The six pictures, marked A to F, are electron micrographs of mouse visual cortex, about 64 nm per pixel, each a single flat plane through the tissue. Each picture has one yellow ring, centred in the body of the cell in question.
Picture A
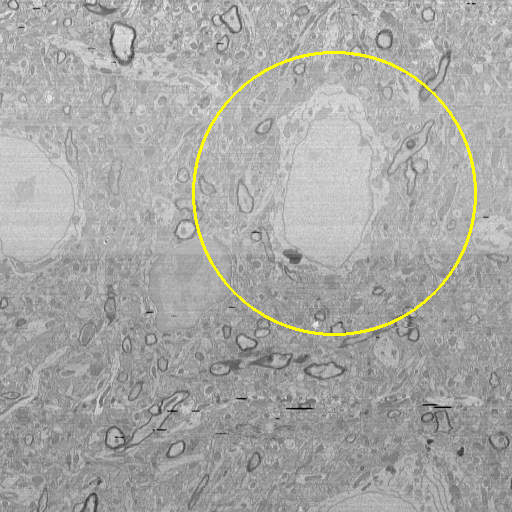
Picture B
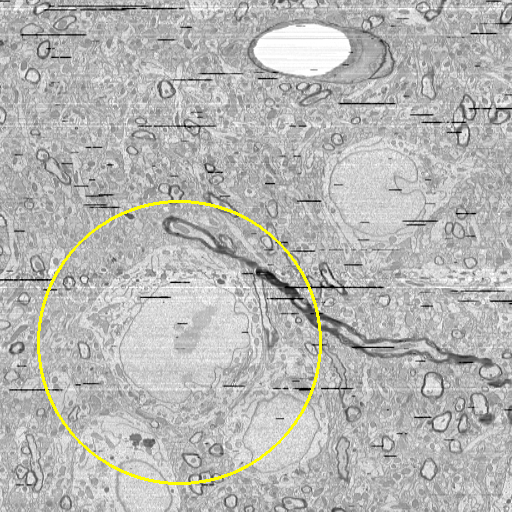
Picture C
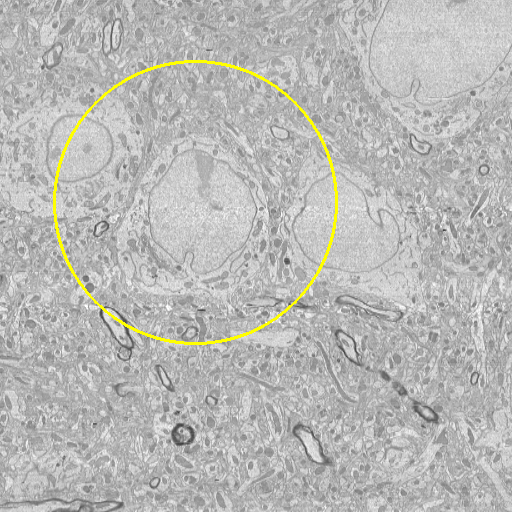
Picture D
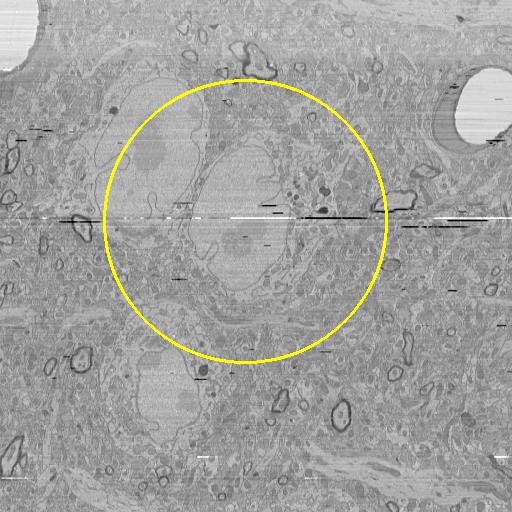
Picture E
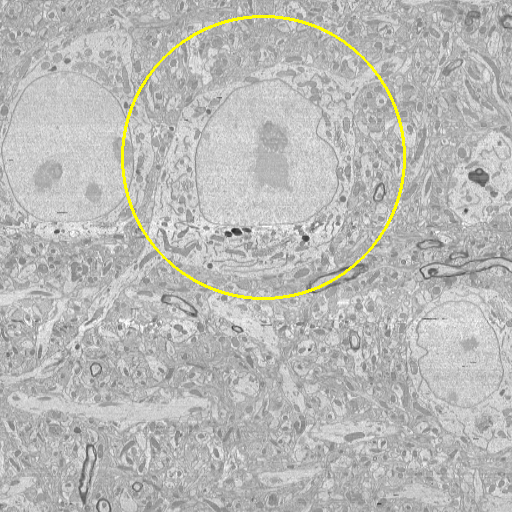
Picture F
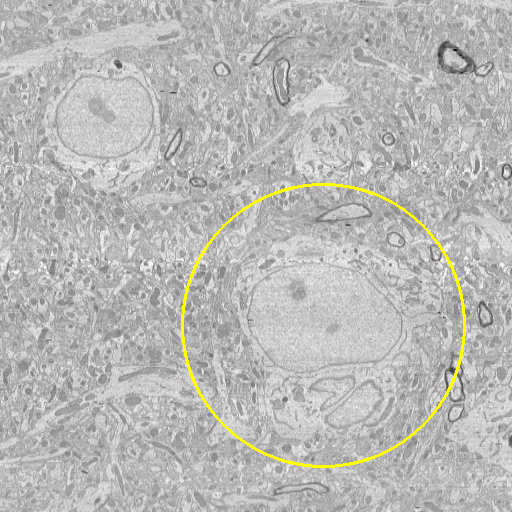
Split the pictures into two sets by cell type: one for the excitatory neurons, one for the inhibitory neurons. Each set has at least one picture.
Pictures A and F show excitatory neurons, and pictures B, C, D and E show inhibitory neurons.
